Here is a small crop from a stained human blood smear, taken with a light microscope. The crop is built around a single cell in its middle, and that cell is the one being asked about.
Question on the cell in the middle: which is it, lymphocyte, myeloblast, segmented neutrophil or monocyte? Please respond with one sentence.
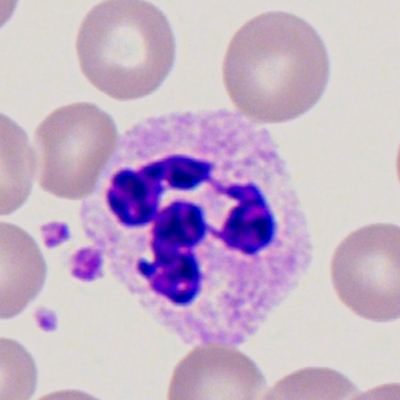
The cell shown in the center of this light-microscope crop is a segmented neutrophil.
